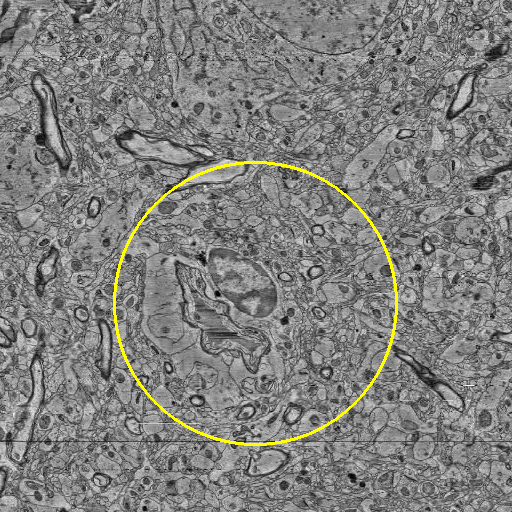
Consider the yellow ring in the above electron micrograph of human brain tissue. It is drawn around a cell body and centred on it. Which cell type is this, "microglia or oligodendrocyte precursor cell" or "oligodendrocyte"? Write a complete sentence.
The cell in question is a microglial cell or oligodendrocyte precursor cell.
